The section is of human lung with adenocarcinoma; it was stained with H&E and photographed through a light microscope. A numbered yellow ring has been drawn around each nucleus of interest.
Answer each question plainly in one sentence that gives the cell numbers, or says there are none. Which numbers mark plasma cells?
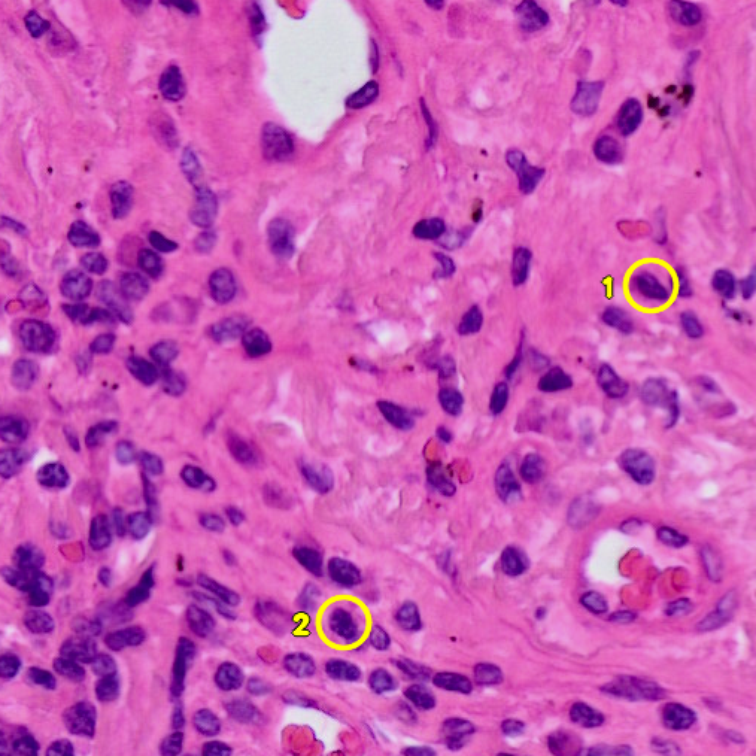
Among all the marked cells, a plasma cell is found only at number 1.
